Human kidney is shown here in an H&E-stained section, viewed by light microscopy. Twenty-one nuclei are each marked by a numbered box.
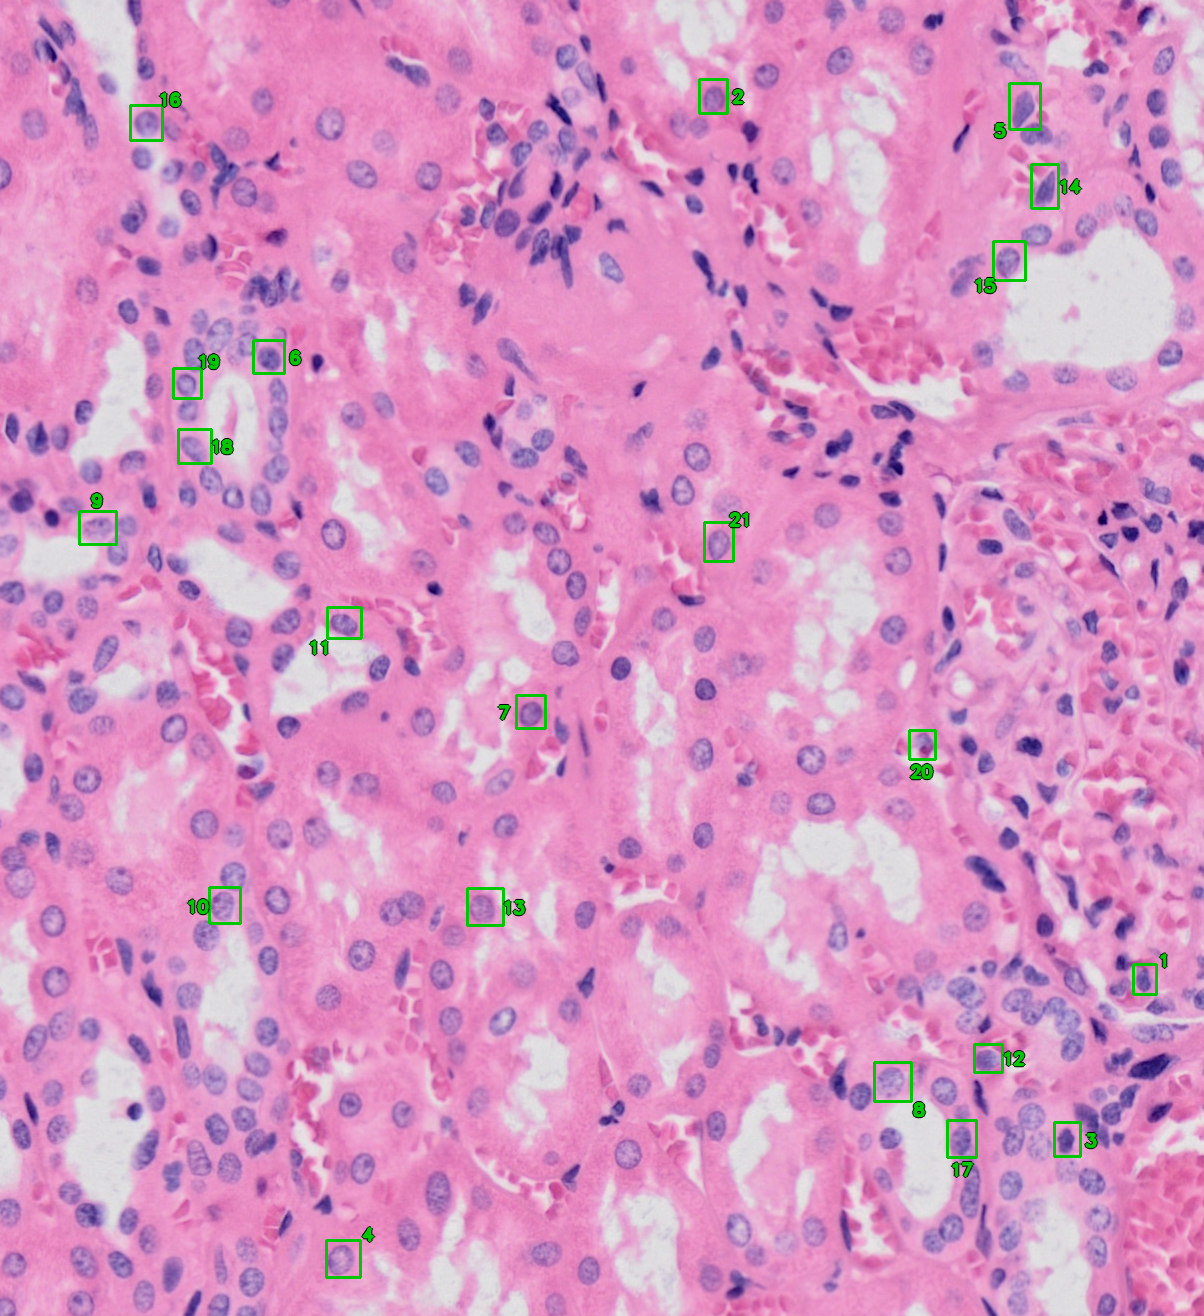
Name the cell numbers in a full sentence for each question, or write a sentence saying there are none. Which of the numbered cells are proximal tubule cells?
The cells with the number labels 2, 4, 7, 13 and 21 are proximal tubule cells.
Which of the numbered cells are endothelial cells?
Classified as endothelial cells are the cells numbered 1, 5, 12, 14 and 20.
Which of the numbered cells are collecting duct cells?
The cells carrying labels 3, 6, 8, 9, 10, 17, 18 and 19 are collecting duct cells.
